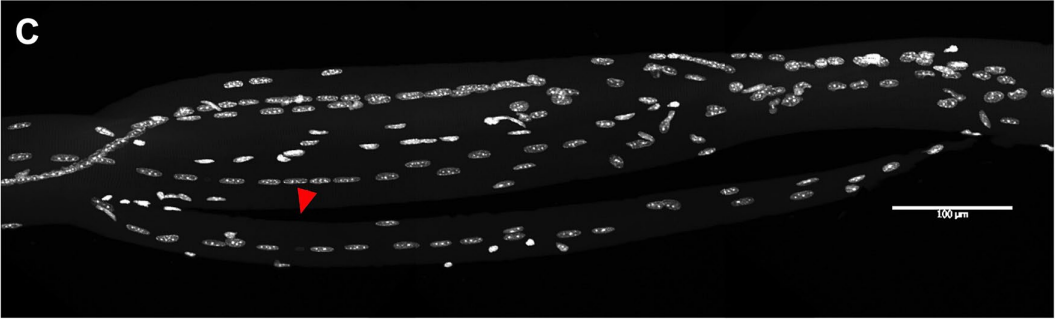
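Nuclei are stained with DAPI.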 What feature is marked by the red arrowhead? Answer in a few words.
branch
